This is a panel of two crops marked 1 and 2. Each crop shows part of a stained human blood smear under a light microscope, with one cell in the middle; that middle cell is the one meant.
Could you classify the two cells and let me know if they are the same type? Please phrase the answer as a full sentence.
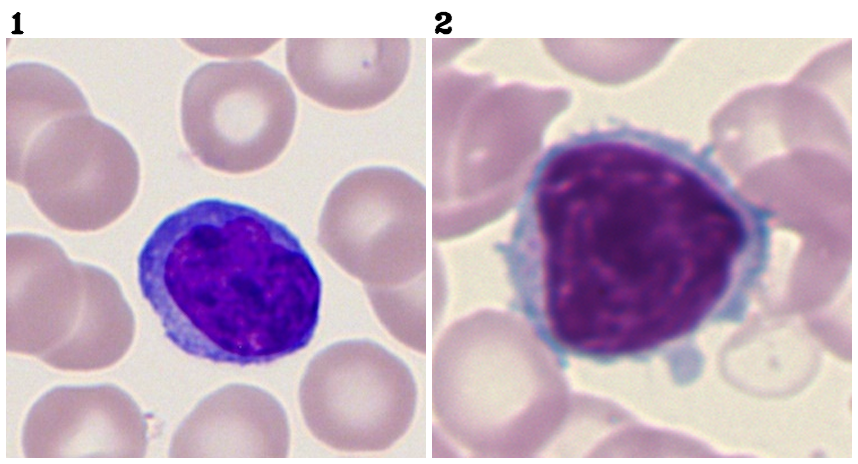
Yes, in the middle of both crops, lymphocytes are shown.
